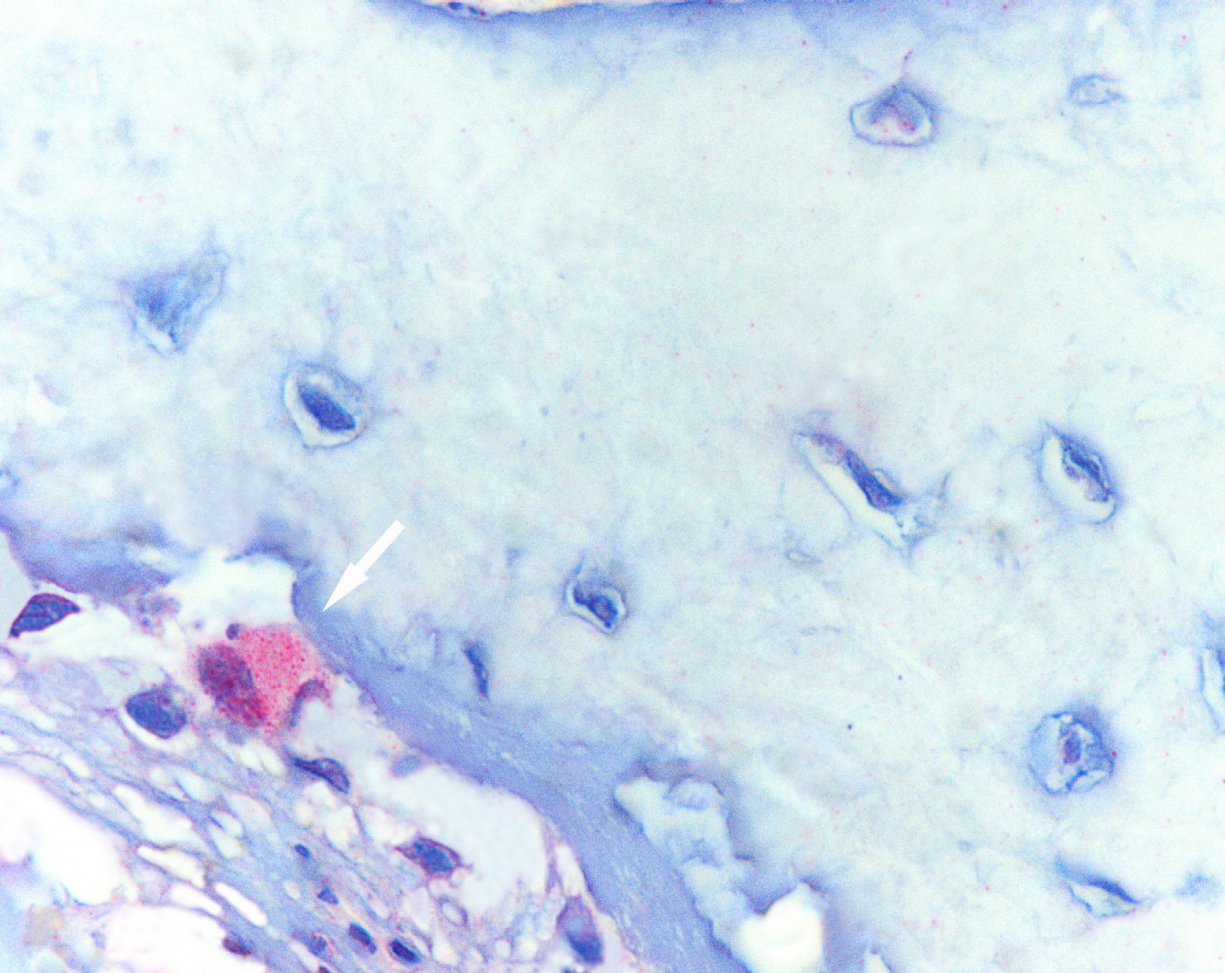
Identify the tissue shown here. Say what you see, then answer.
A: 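A broad pale bluish matrix fills most of the field. Small cells with dark nuclei sit singly in lacunae scattered through the matrix. Loose, cell-containing tissue borders the matrix at lower left. On this evidence: bone trabecle.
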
